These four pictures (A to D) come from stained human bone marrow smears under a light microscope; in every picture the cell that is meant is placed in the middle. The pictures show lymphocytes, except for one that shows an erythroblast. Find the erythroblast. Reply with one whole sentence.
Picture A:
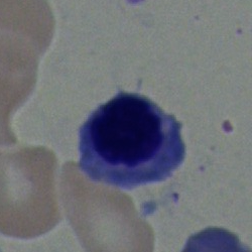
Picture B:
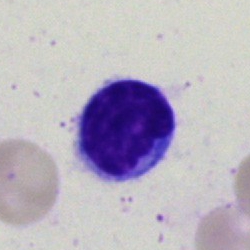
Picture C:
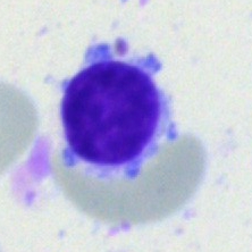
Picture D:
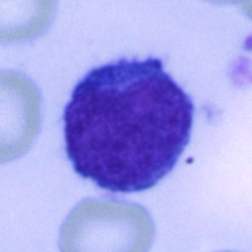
The picture with the erythroblast is A.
